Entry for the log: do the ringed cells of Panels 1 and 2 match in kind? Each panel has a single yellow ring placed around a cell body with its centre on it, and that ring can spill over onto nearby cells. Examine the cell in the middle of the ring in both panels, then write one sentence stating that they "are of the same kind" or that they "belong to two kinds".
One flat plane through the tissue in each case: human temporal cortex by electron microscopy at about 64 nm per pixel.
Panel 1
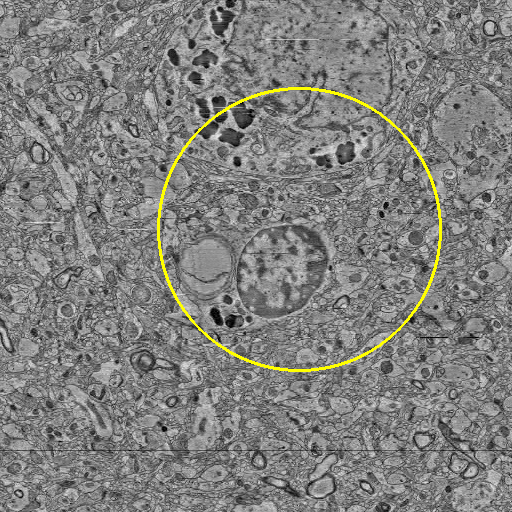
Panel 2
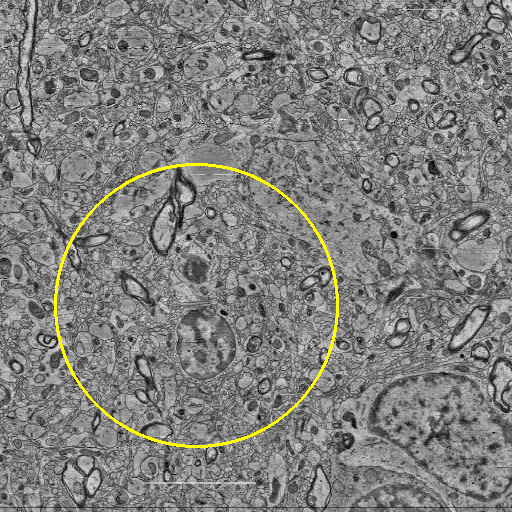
The centre cell of Panel 1's ring and that of Panel 2's ring are of the same kind.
